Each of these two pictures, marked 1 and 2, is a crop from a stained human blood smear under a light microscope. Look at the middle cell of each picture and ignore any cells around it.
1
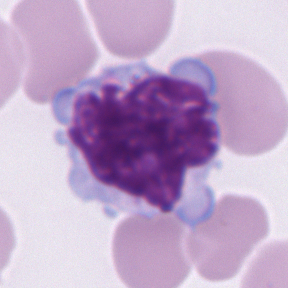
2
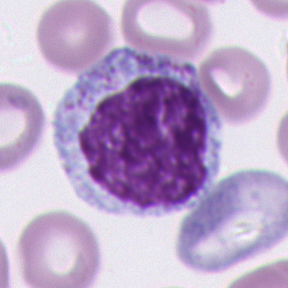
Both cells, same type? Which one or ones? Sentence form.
No, a monocyte is the subject of crop 1, and a myelocyte is the subject of crop 2.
